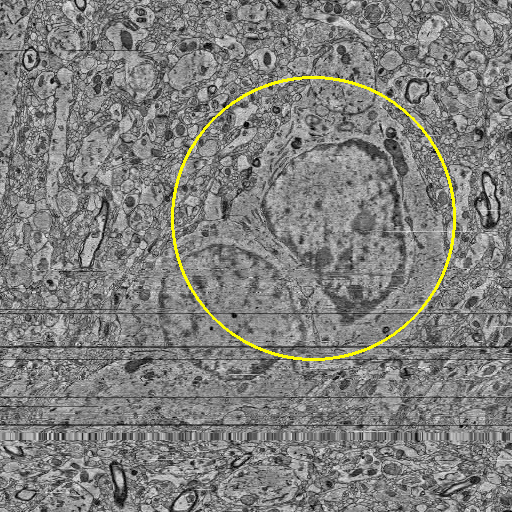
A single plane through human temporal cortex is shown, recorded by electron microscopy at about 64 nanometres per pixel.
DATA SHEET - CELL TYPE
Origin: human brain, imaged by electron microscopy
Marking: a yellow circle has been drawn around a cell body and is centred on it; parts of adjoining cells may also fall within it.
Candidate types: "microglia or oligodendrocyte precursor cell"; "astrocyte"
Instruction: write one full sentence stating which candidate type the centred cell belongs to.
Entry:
The cell body at the centre of the yellow ring in this micrograph belongs to a microglial cell or oligodendrocyte precursor cell.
